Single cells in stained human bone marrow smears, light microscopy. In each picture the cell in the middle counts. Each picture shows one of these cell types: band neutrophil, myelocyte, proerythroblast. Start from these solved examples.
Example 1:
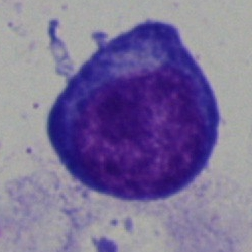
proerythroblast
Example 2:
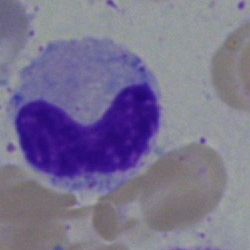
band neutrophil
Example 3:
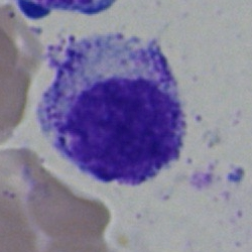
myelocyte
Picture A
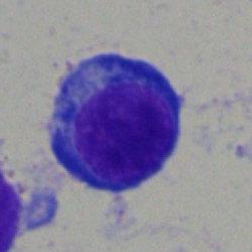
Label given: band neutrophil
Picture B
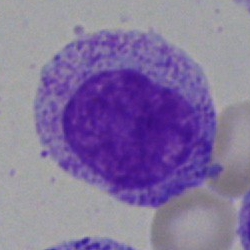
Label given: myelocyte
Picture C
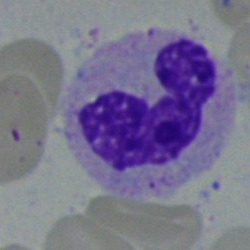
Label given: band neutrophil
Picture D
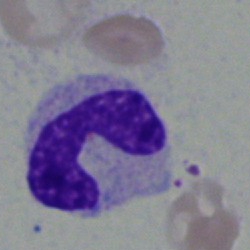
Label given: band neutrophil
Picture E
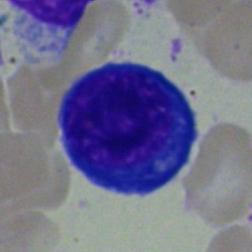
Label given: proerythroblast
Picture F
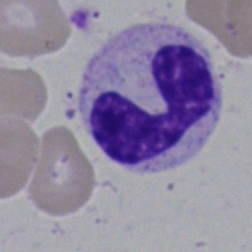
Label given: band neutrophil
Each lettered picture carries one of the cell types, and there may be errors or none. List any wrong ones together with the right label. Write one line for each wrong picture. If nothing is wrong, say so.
Wrong: A (band neutrophil); correct: proerythroblast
